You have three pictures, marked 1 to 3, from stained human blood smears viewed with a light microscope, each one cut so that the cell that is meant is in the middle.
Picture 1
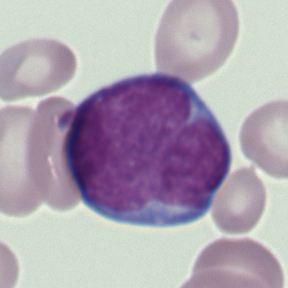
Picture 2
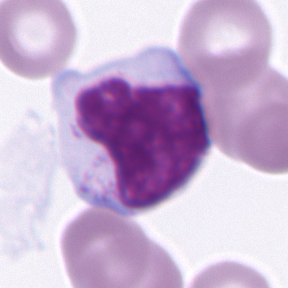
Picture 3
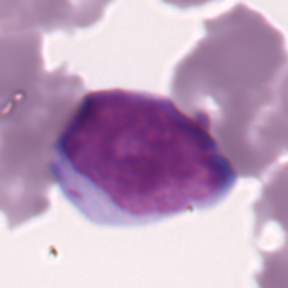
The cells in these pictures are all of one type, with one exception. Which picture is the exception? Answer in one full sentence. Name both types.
All pictures except 2 show myeloblasts; picture 2 shows a large granular lymphocyte.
